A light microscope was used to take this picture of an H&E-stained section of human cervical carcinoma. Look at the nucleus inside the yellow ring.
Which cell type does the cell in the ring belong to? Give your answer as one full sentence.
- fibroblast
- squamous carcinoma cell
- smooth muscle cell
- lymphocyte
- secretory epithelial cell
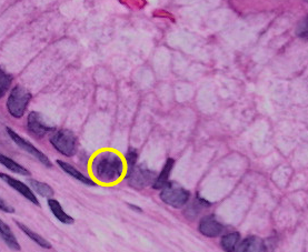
This is a secretory epithelial cell.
